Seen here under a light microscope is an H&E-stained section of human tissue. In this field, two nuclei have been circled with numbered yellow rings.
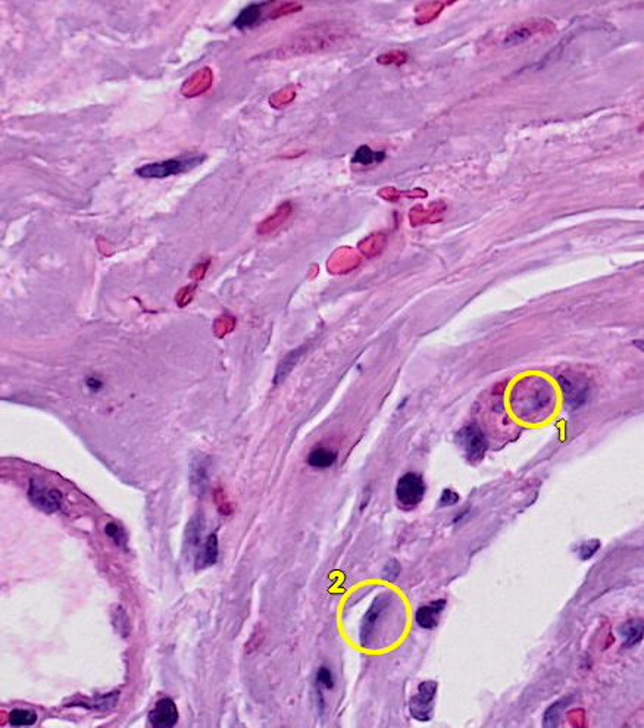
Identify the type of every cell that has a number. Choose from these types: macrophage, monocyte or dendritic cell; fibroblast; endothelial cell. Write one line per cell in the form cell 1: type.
cell 1: endothelial cell
cell 2: fibroblast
